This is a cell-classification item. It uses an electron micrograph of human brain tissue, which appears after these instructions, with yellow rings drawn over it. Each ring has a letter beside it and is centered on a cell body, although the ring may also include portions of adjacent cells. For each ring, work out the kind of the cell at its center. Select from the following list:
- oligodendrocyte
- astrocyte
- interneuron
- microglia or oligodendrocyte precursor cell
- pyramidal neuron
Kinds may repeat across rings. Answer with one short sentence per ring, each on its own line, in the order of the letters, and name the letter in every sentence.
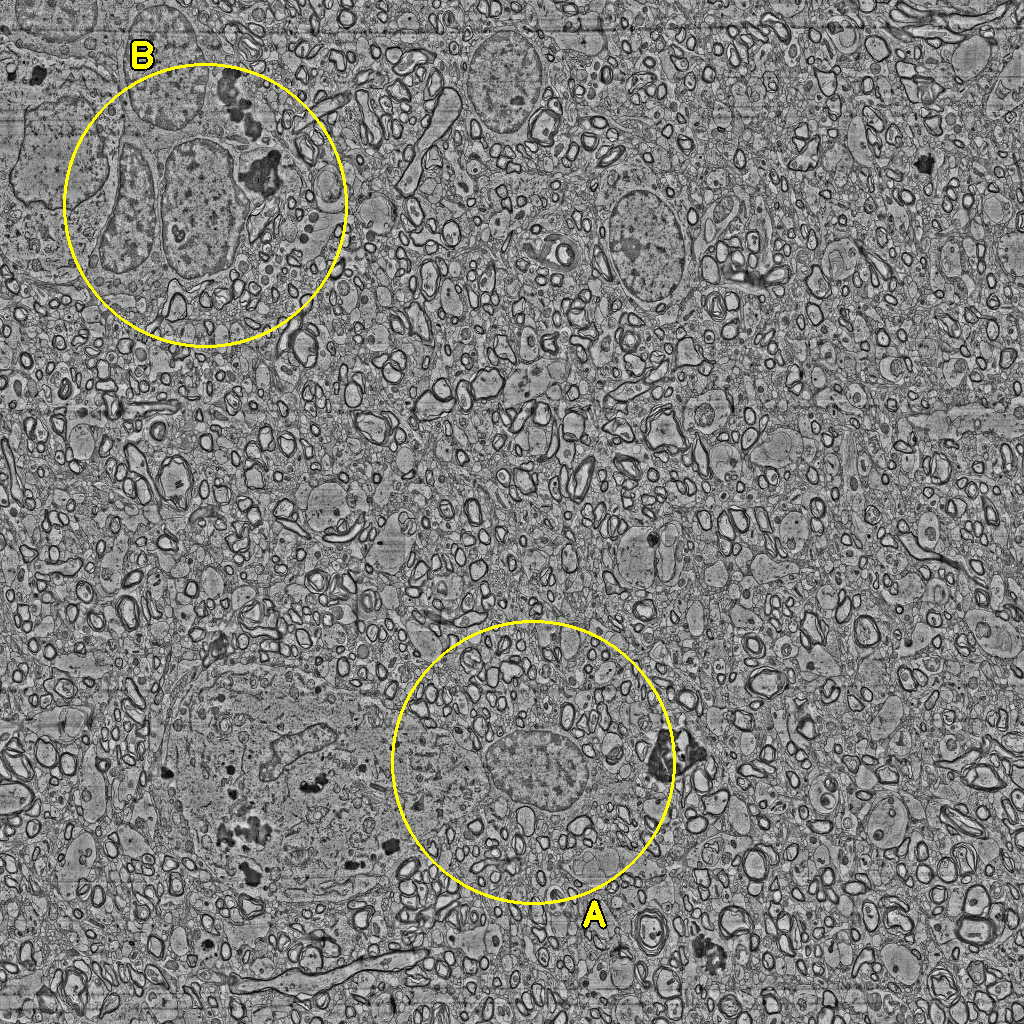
Ring A has an oligodendrocyte at its center.
Ring B has an oligodendrocyte at its center.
